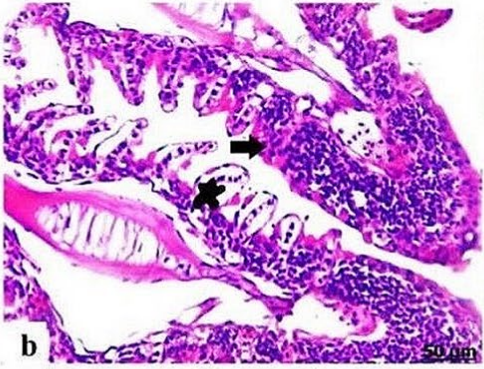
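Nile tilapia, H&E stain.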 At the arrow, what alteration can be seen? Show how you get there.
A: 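Fusion of secondary lamellae. The spaces between lamellae are filled by a thick mass of densely packed nuclei. Individual lamellae can no longer be told apart where the arrow points.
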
